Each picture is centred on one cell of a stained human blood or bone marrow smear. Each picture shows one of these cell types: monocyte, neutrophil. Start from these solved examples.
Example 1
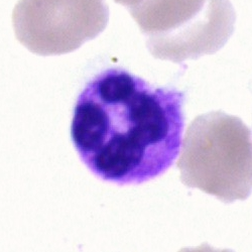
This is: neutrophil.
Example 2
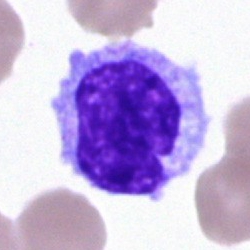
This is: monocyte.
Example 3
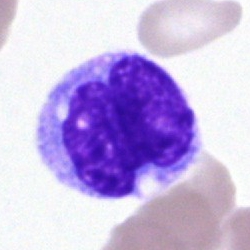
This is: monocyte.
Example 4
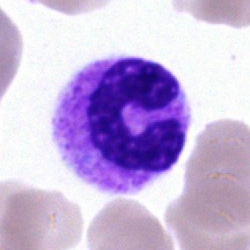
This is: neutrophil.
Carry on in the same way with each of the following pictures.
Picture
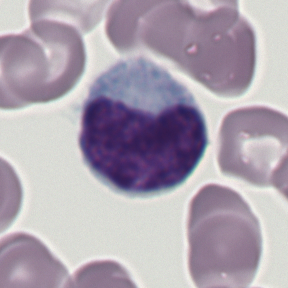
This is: monocyte.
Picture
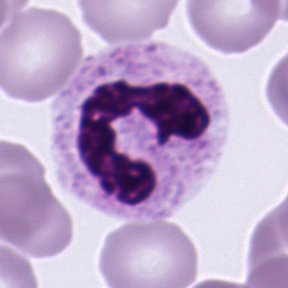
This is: neutrophil.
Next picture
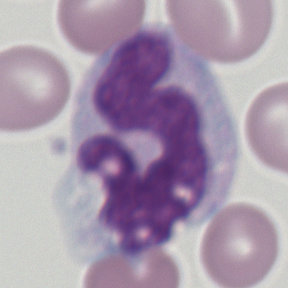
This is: monocyte.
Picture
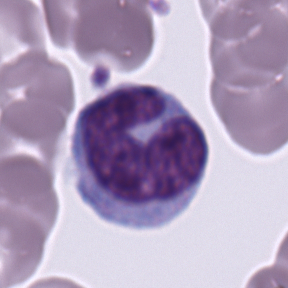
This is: monocyte.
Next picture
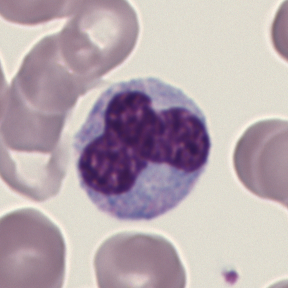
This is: monocyte.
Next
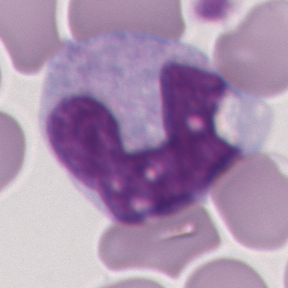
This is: monocyte.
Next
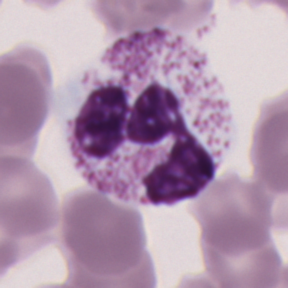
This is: neutrophil.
